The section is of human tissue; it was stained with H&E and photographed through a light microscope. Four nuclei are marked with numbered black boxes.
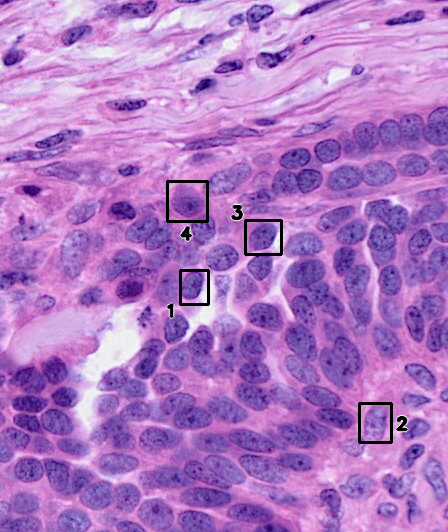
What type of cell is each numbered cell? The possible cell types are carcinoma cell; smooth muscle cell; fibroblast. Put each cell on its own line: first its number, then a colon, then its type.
1: carcinoma cell
2: fibroblast
3: carcinoma cell
4: carcinoma cell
